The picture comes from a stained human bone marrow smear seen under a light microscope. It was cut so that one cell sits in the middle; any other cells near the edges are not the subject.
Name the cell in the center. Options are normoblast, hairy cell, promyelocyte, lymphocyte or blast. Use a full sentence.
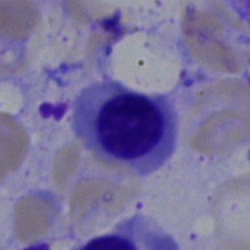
The central cell in this smear crop is a normoblast.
